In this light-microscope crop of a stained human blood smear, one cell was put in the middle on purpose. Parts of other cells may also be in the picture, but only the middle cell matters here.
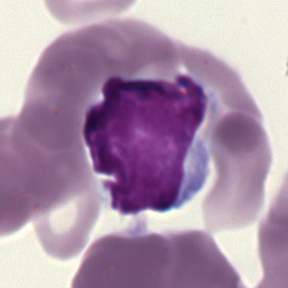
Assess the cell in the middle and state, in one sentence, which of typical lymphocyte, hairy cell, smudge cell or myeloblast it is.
The single cell at the center of the crop is a typical lymphocyte.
